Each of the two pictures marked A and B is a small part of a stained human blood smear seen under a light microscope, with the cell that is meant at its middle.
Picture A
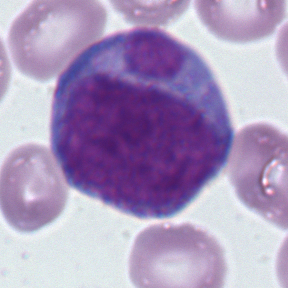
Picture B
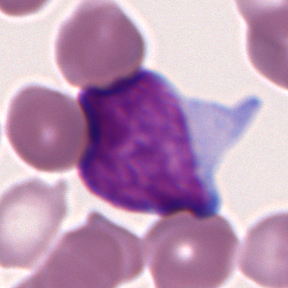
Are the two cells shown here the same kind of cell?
no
